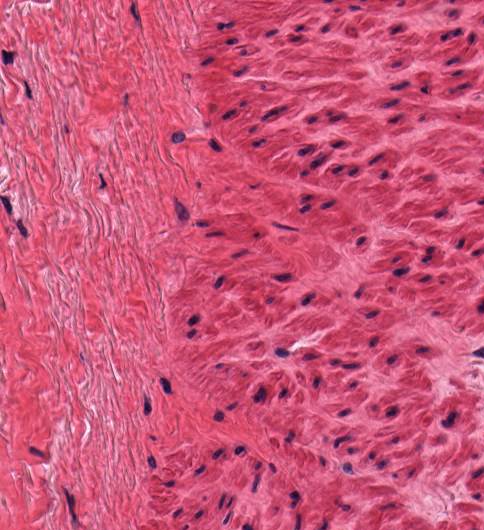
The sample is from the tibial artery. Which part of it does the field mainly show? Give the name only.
tunica media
